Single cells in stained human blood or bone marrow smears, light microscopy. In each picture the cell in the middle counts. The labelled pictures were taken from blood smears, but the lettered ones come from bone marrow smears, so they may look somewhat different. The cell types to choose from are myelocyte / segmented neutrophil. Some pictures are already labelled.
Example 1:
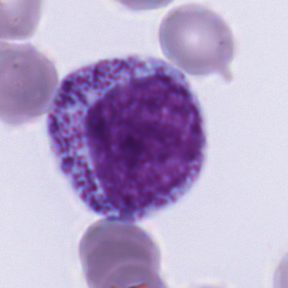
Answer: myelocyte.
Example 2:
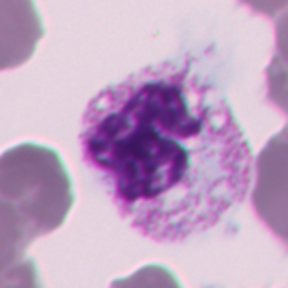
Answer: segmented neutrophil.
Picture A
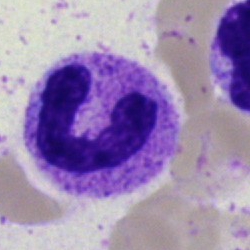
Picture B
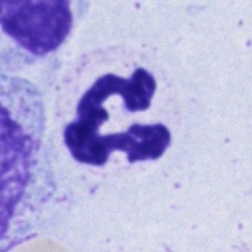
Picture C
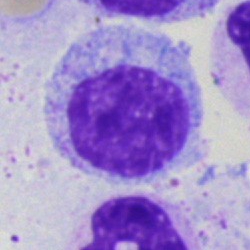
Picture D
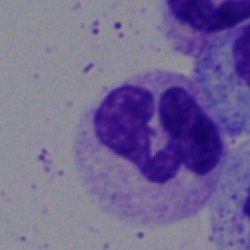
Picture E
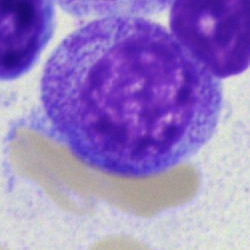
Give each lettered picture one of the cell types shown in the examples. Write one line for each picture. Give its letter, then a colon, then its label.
A: segmented neutrophil.
B: segmented neutrophil.
C: myelocyte.
D: segmented neutrophil.
E: myelocyte.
